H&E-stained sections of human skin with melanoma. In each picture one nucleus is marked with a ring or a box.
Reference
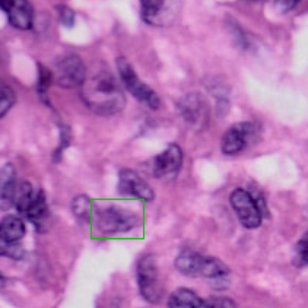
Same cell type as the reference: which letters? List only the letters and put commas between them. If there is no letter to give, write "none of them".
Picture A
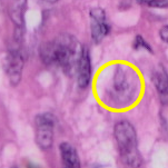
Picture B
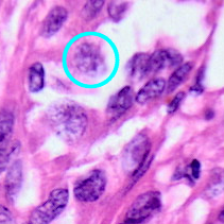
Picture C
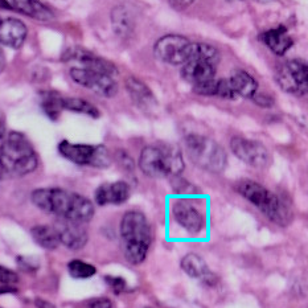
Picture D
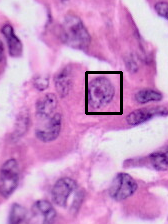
A, B, C, D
